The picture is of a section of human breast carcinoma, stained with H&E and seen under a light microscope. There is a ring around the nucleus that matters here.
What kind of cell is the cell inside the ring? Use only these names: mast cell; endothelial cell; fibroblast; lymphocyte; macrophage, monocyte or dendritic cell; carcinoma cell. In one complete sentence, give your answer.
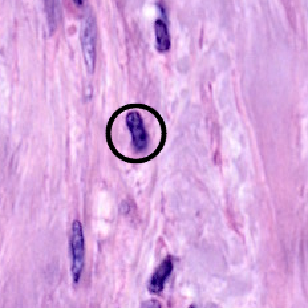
Speaking plainly, the cell inside the ring is nothing other than a mast cell.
